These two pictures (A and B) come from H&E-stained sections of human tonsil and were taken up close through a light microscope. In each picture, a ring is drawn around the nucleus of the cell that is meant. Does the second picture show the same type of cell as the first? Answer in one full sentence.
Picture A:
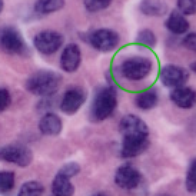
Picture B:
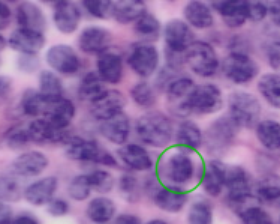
No; the cell in picture A is a plasma cell, while the one in picture B is a small lymphocyte.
